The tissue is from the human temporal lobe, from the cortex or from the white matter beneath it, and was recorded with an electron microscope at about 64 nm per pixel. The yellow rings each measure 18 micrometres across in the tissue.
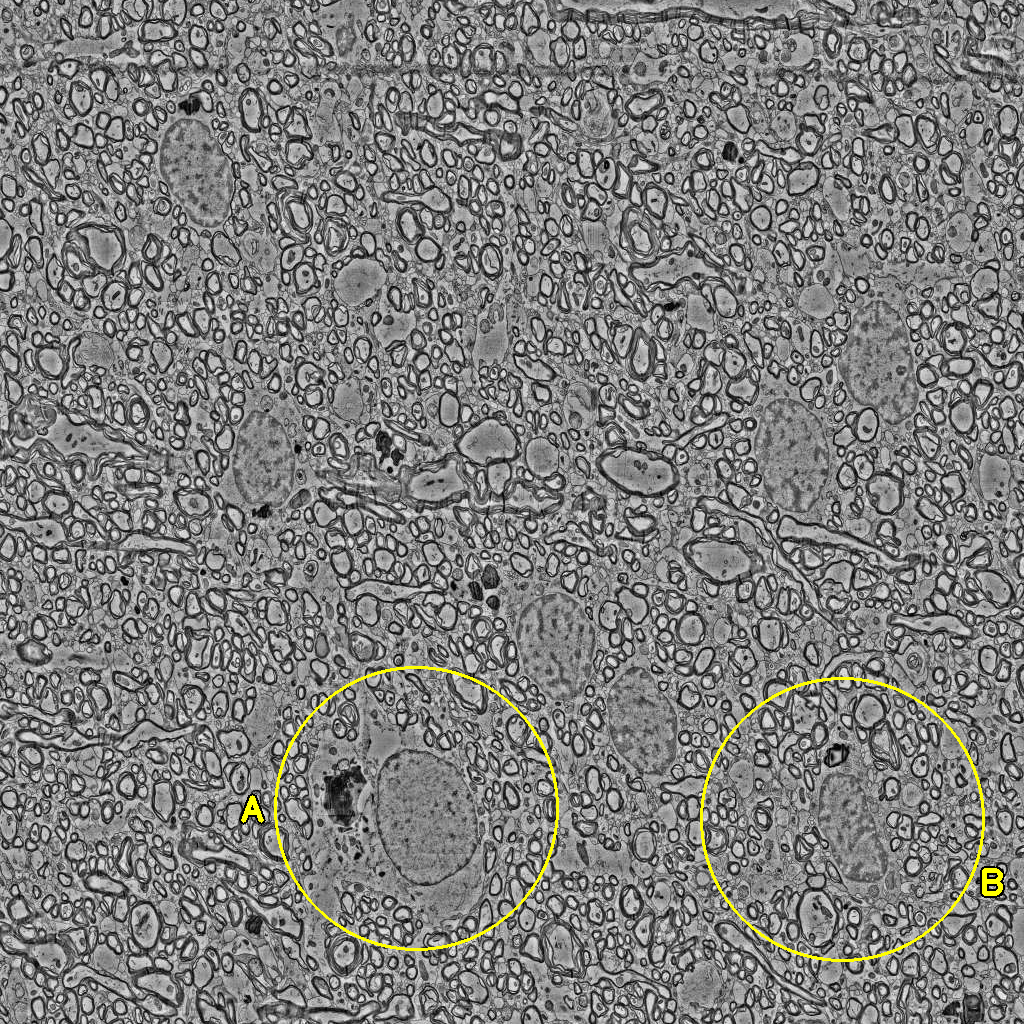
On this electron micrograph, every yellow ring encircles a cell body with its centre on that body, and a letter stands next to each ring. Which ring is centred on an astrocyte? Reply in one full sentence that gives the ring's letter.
Ring A is the ring that has the cell asked for in its centre.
